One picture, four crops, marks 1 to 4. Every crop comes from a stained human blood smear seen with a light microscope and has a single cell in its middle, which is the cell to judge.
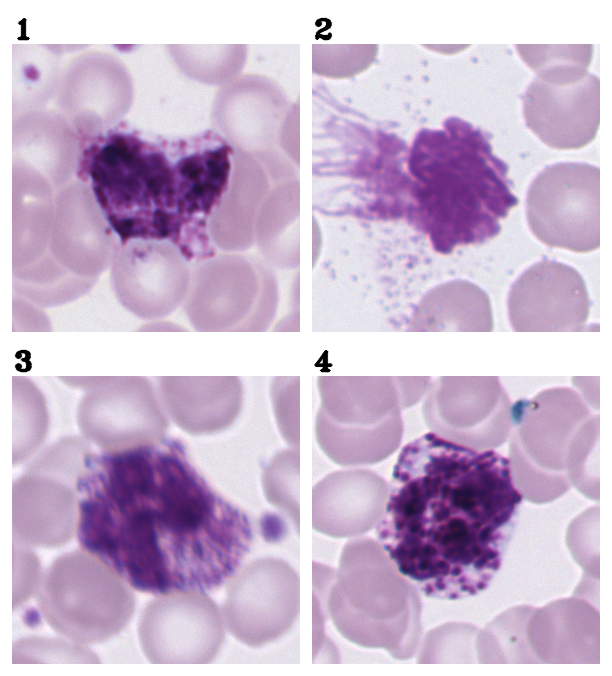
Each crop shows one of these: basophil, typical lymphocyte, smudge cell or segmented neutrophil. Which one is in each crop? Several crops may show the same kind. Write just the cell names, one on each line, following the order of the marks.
basophil
smudge cell
basophil
basophil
